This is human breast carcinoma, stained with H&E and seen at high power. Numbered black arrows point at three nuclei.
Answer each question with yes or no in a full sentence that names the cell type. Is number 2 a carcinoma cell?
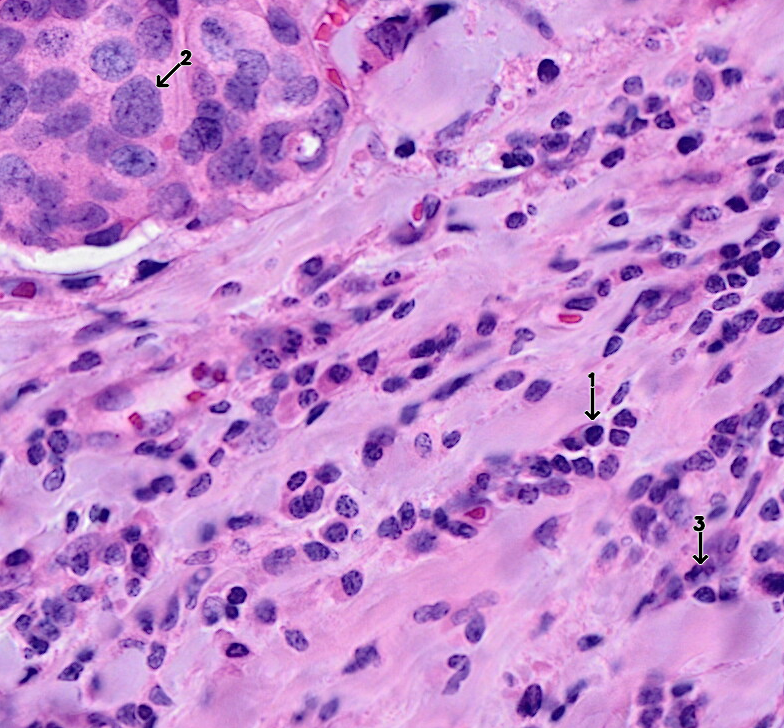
Yes, the cell that has number 2 is a carcinoma cell.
